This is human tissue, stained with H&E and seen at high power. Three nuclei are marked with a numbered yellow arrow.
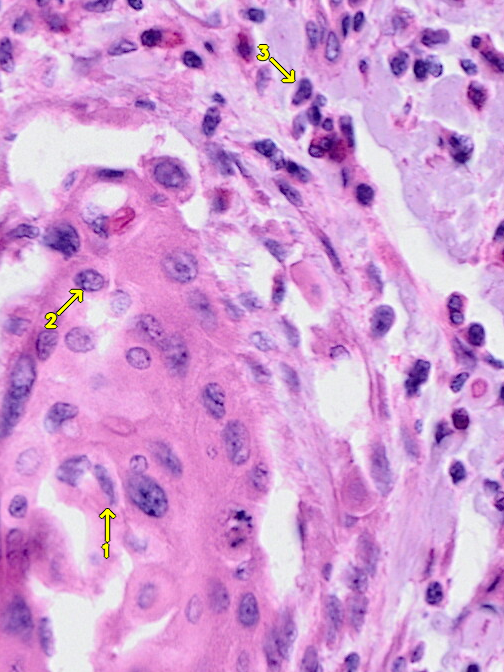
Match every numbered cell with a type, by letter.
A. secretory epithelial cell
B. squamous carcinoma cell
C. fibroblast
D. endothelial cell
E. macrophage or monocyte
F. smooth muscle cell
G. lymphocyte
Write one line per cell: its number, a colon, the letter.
1: B
2: B
3: G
